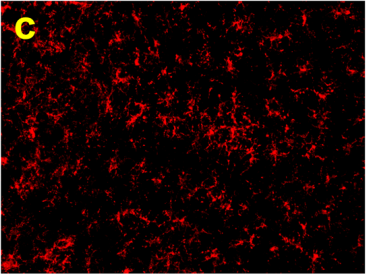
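The red cells are numerous and scattered fairly evenly across the field without forming layers. Each cell has a small bright body from which several short, branching processes radiate in different directions. The processes appear thick and bushy, and neighbouring cells lie close together, giving the field a dense, speckled appearance.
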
